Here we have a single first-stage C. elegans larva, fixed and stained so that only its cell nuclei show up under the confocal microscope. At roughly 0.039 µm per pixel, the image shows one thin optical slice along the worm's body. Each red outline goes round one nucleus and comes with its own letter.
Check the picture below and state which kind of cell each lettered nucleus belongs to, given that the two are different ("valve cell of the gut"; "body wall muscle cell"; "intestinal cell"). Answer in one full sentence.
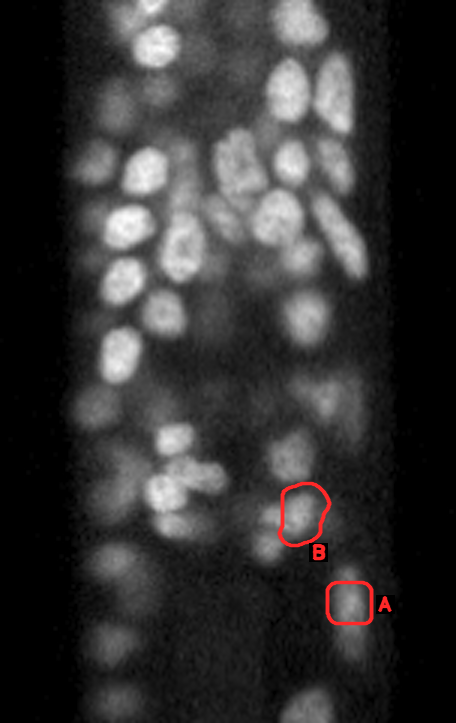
One is from a body wall muscle cell, namely A, and the other, B, is from a valve cell of the gut.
